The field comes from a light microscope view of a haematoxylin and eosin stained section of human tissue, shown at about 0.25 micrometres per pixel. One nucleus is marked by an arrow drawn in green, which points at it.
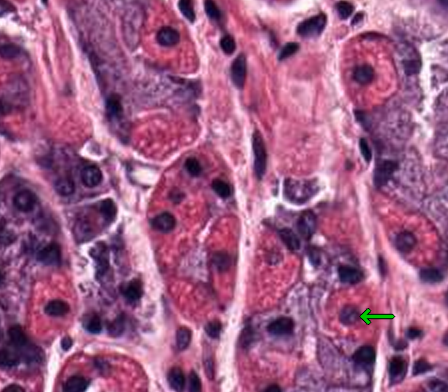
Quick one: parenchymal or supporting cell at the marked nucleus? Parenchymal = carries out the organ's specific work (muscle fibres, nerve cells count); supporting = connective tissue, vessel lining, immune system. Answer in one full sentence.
The marked nucleus belongs to a parenchymal cell, and this cell is a parietal cell.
